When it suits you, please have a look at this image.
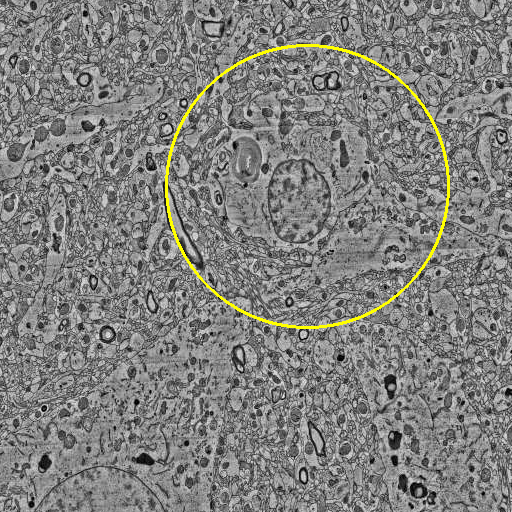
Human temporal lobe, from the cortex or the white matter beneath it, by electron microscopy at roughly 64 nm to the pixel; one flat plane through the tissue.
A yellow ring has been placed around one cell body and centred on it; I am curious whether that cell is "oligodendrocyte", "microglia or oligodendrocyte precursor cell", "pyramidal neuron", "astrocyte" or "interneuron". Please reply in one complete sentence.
The ringed cell, an astrocyte, has its body at the centre of the yellow ring.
